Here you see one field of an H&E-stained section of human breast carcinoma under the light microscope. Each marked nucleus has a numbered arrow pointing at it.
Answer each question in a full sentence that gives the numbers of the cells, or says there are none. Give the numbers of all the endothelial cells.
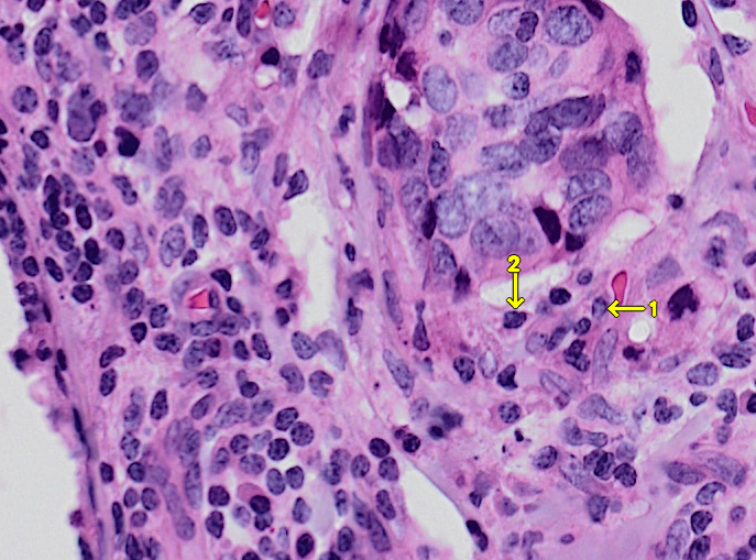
There is only one numbered cell that is an endothelial cell, and it is cell 1.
